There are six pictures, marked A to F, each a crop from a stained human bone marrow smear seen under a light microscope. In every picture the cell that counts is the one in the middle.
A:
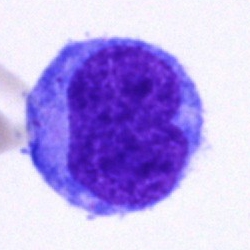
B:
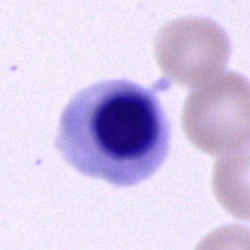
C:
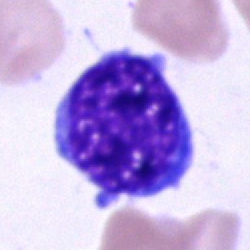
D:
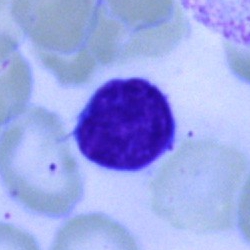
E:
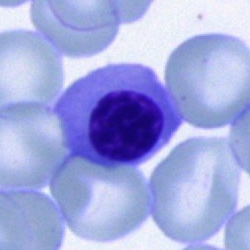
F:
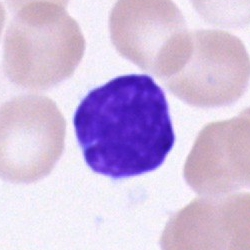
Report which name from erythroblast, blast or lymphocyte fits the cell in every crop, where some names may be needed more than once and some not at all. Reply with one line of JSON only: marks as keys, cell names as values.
{"A": "blast", "B": "erythroblast", "C": "blast", "D": "lymphocyte", "E": "erythroblast", "F": "lymphocyte"}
